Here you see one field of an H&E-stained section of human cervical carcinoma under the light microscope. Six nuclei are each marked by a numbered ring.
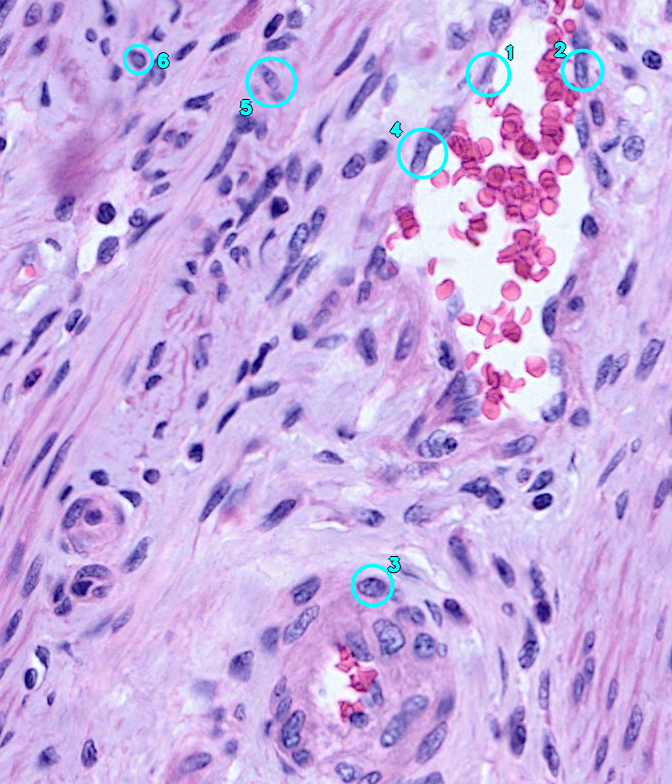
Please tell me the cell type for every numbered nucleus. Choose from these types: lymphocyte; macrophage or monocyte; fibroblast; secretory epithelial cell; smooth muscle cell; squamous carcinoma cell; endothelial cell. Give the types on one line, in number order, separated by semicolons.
endothelial cell; endothelial cell; smooth muscle cell; endothelial cell; smooth muscle cell; smooth muscle cell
